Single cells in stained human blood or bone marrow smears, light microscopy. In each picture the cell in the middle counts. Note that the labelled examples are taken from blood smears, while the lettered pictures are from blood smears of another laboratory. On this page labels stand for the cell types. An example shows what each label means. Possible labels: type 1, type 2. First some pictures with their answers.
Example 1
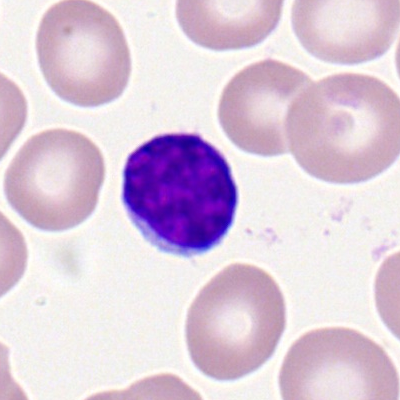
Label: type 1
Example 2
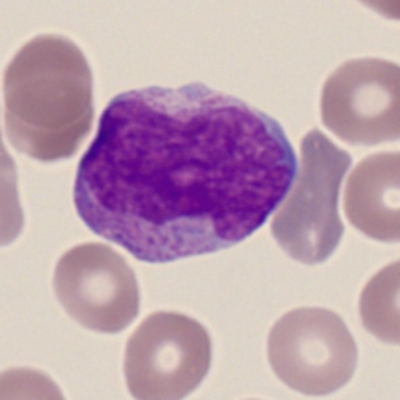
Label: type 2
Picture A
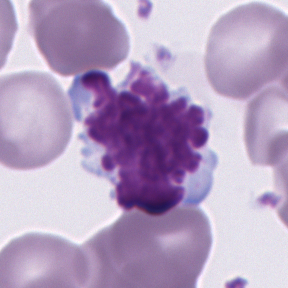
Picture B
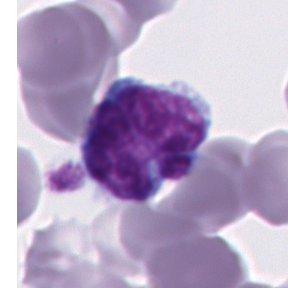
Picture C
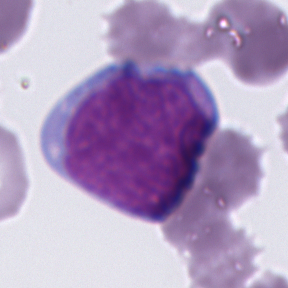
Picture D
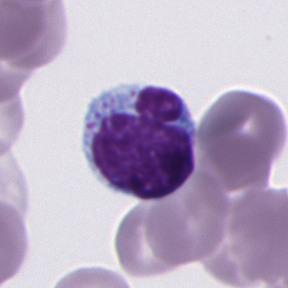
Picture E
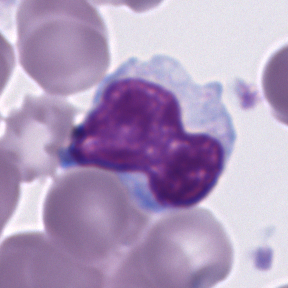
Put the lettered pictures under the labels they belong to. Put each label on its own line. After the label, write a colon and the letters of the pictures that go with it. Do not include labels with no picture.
type 1: A, B, D, E
type 2: C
